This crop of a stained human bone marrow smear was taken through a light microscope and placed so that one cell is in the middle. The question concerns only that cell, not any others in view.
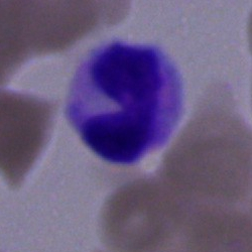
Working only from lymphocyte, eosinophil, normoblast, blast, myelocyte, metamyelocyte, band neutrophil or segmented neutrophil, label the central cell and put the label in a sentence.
Classification of the middle cell gives a band neutrophil.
